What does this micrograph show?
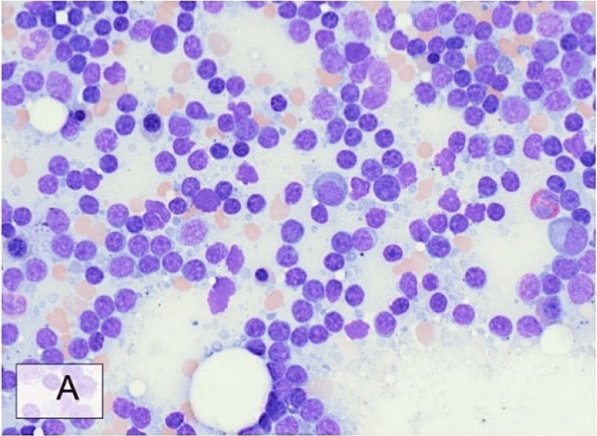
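This bone marrow aspirate smear is dominated by mature-appearing lymphocytes, small round cells with dense, dark purple nuclei and only a thin rim of pale blue cytoplasm. A few larger cells with more abundant cytoplasm are scattered among them, and pale pink red blood cells and round clear fat droplets lie in the background.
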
